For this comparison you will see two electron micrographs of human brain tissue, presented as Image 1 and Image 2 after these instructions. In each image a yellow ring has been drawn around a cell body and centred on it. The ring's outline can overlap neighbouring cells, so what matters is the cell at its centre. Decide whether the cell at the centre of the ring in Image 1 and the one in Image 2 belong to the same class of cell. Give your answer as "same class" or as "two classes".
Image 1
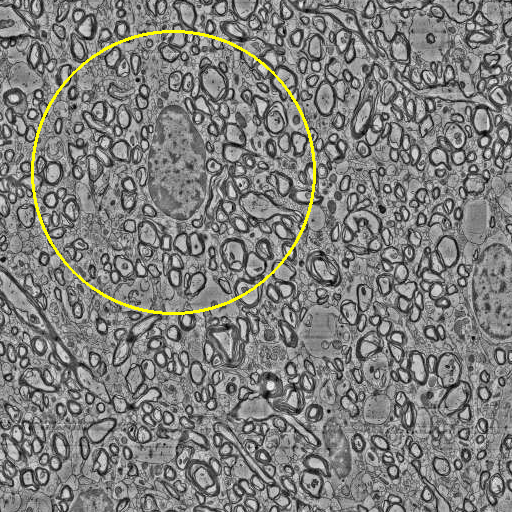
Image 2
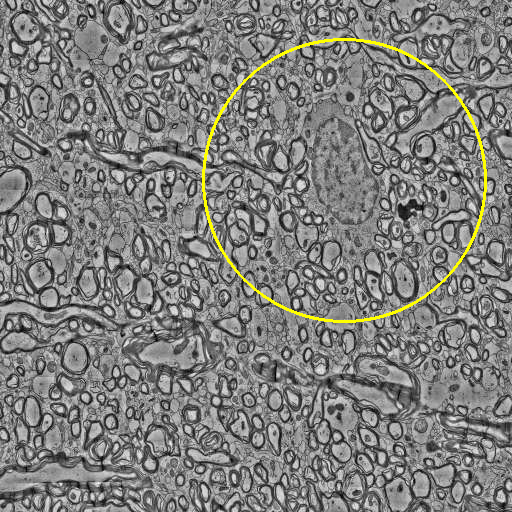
two classes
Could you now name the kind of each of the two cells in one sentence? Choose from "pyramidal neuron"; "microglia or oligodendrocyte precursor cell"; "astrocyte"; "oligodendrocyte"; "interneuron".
The first ring encloses a microglial cell or oligodendrocyte precursor cell; the second ring encloses an oligodendrocyte.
